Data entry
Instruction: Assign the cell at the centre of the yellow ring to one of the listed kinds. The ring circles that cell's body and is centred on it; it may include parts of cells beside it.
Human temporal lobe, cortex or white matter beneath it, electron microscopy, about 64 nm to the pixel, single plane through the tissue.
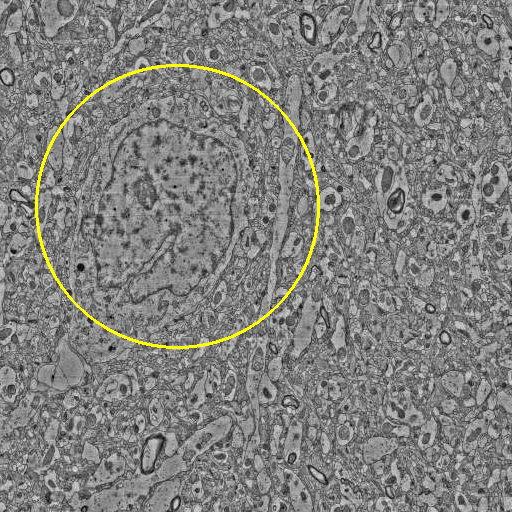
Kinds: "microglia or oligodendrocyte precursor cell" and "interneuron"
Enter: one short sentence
The centre of the ring falls on an interneuron.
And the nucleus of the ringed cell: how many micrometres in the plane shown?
In this plane, roughly 12 by 9 micrometres.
